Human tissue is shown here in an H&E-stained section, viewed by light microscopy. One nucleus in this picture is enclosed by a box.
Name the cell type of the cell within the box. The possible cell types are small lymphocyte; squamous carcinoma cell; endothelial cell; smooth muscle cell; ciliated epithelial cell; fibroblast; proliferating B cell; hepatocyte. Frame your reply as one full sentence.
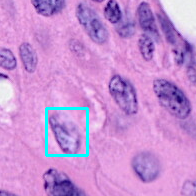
In the context of this tissue, the cell within the box is a squamous carcinoma cell.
